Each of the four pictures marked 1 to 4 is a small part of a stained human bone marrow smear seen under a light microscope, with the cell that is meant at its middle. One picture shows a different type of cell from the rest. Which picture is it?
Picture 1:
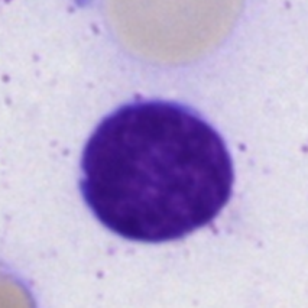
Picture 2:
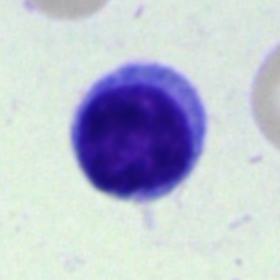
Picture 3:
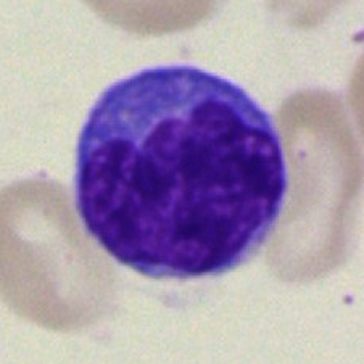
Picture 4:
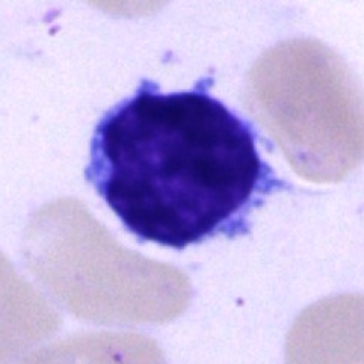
3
